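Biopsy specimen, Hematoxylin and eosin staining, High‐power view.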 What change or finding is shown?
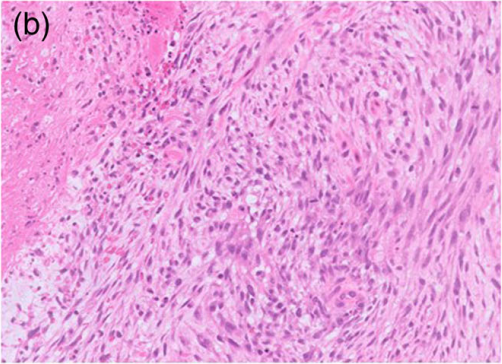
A: Enlarged nuclei.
